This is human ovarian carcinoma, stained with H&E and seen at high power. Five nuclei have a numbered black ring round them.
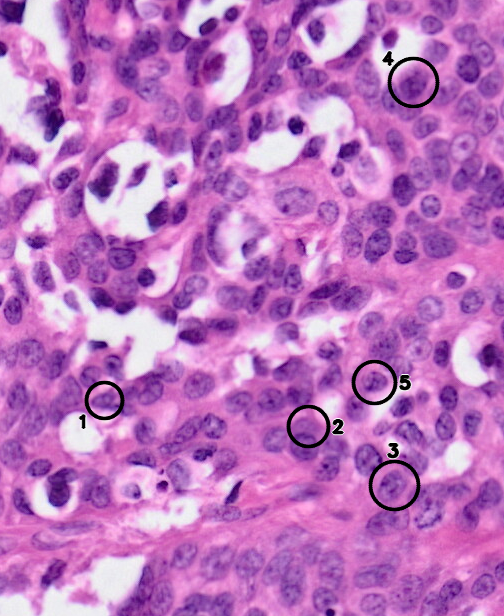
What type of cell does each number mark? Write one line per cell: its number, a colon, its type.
1: macrophage or monocyte
2: carcinoma cell
3: carcinoma cell
4: carcinoma cell
5: macrophage or monocyte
